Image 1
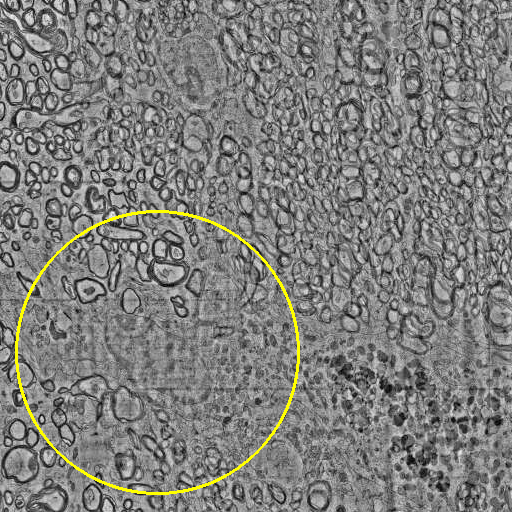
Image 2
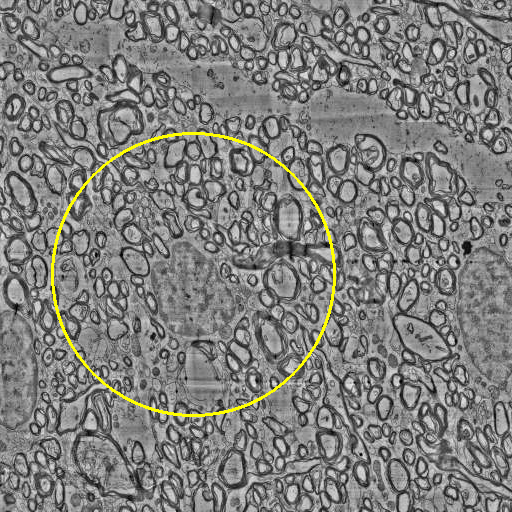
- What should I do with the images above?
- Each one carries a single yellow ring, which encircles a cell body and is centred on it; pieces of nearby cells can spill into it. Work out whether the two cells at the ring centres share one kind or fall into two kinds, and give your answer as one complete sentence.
The ring-centre cells of Image 1 and Image 2 fall into two kinds.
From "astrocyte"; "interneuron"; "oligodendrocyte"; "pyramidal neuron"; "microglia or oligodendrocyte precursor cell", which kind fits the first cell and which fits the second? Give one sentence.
The cell marked in the first picture is a microglial cell or oligodendrocyte precursor cell, and the one marked in the second is an oligodendrocyte.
